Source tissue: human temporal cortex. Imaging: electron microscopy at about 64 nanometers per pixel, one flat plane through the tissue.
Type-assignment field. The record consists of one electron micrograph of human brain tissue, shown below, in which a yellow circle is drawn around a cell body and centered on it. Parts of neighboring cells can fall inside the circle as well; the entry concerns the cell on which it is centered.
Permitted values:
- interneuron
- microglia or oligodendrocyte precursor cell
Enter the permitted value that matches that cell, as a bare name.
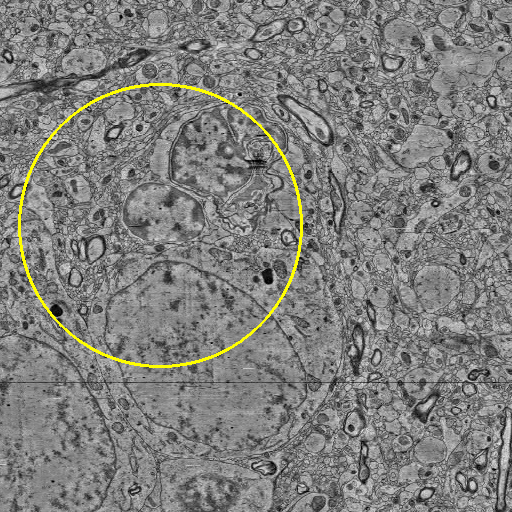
microglia or oligodendrocyte precursor cell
